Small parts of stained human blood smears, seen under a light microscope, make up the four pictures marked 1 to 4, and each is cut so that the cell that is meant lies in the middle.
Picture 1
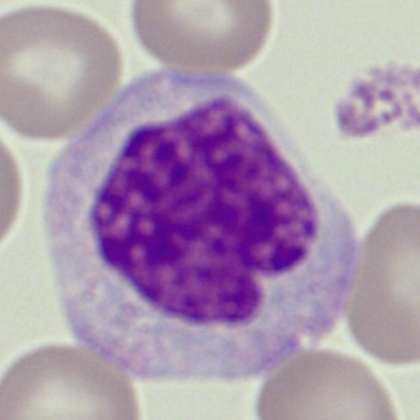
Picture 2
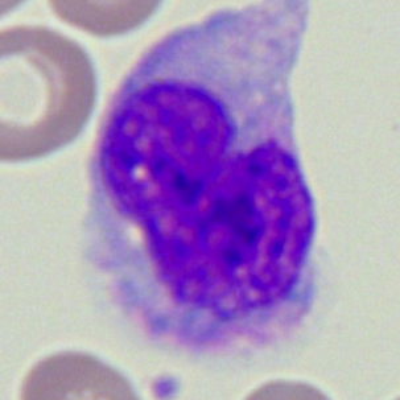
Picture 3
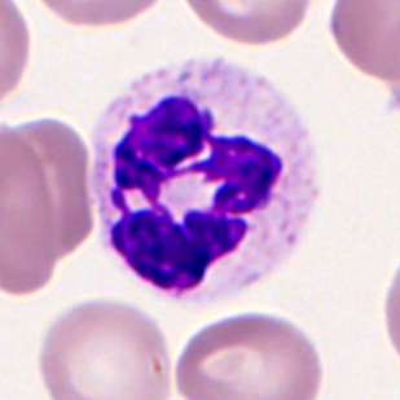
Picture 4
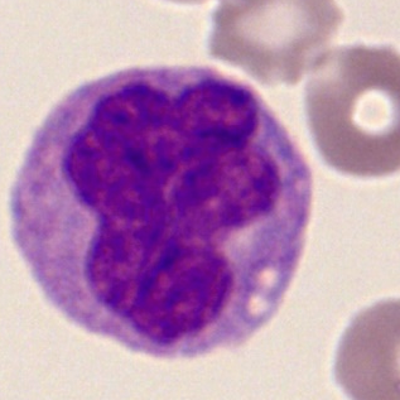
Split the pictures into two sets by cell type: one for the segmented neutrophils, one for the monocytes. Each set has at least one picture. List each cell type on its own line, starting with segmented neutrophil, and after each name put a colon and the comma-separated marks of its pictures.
segmented neutrophil: 3
monocyte: 1, 2, 4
